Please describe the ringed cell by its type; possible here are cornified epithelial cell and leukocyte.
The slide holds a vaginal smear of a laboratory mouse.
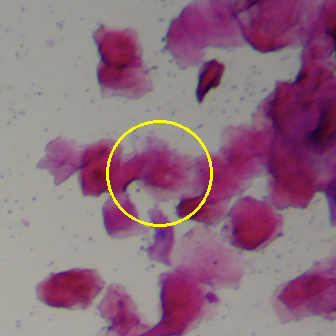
The yellow ring marks a cornified epithelial cell.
